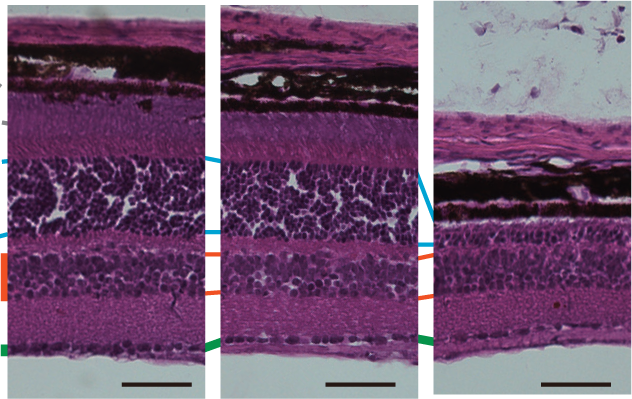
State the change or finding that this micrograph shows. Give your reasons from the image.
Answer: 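In the right section the outer nuclear band is reduced to a few rows of nuclei. The pink photoreceptor segment band is nearly absent in the right section. The inner layers are of similar thickness in all three sections. On this evidence: Severe retinal degeneration.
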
